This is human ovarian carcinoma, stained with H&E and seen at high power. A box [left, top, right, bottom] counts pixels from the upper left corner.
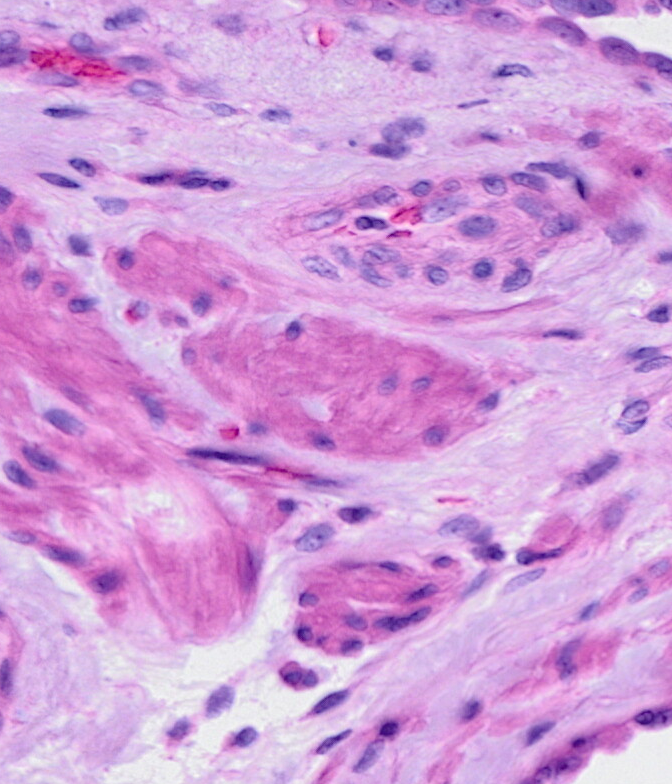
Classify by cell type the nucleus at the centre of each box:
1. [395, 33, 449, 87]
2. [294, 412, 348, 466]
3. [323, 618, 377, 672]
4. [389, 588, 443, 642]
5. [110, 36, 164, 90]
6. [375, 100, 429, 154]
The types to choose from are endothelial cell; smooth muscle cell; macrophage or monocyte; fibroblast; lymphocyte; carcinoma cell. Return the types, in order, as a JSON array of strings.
["fibroblast", "smooth muscle cell", "smooth muscle cell", "smooth muscle cell", "endothelial cell", "fibroblast"]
